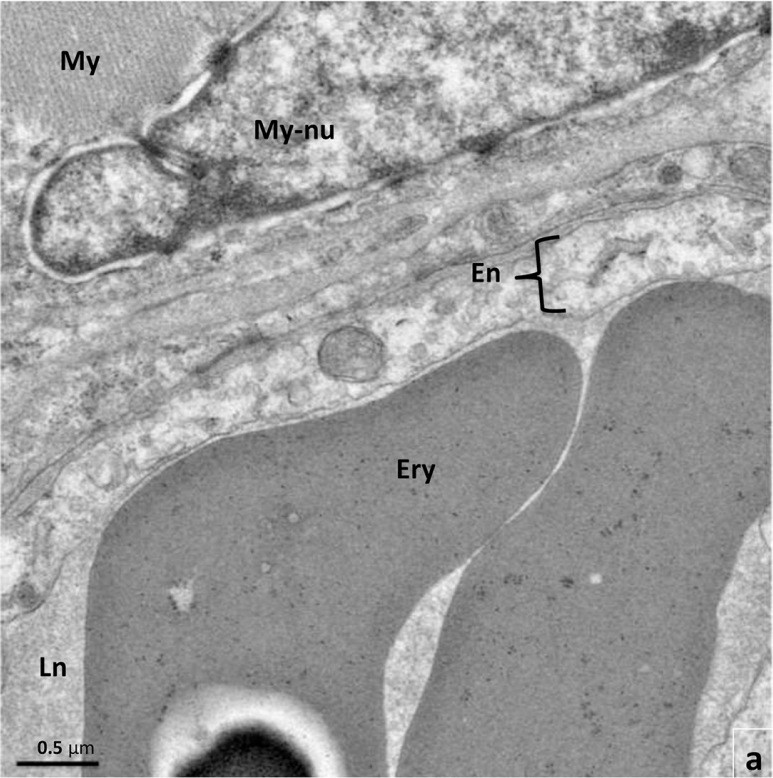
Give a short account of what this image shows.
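Vessel wall in skeletal muscle, with a thin endothelial cell layer lying between a lumen filled with uniformly dark erythrocytes and an adjacent muscle fibre. The endothelial cytoplasm is a narrow band with few organelles, a mitochondrion and scattered small vesicles. The muscle fibre nucleus sits at the top, with clumped dark chromatin along its envelope, and finely striated myofibrils occupy the upper left corner.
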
